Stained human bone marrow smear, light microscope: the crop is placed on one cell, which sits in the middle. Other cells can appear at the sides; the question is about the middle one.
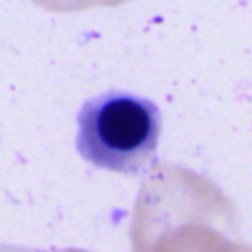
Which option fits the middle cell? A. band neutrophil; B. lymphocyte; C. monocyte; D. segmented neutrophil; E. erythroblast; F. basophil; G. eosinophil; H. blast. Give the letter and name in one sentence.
The cell shown centrally is an erythroblast; option E is the correct option.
